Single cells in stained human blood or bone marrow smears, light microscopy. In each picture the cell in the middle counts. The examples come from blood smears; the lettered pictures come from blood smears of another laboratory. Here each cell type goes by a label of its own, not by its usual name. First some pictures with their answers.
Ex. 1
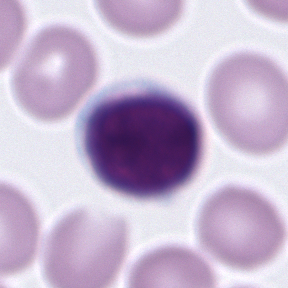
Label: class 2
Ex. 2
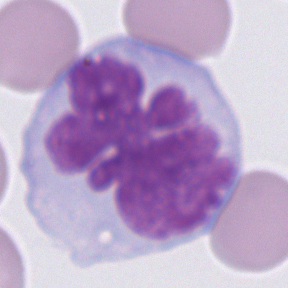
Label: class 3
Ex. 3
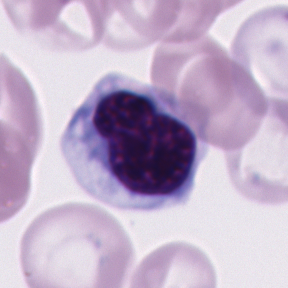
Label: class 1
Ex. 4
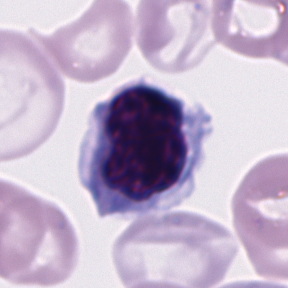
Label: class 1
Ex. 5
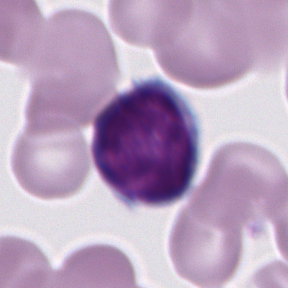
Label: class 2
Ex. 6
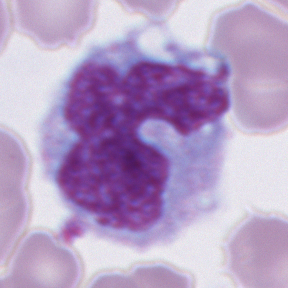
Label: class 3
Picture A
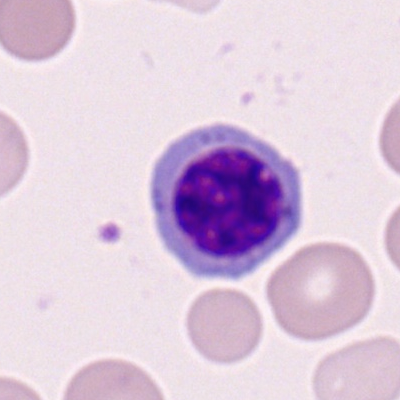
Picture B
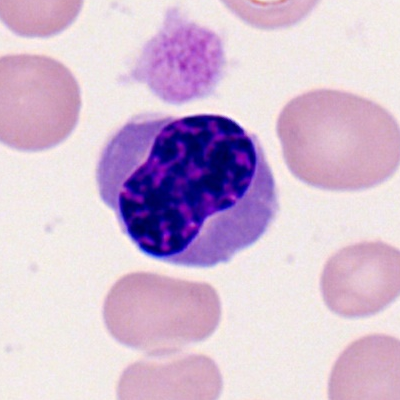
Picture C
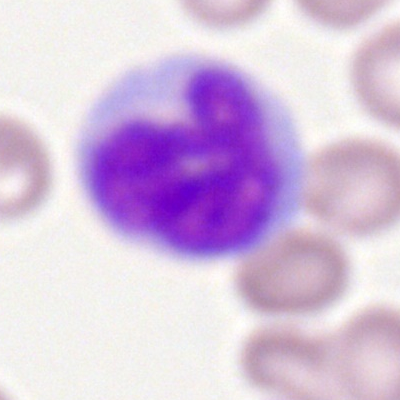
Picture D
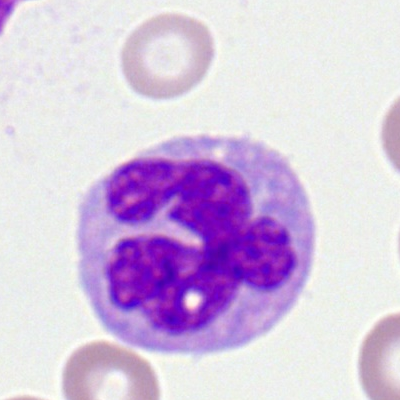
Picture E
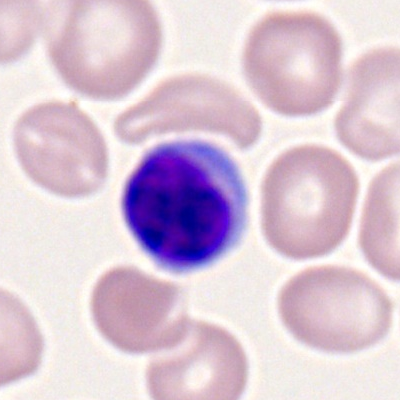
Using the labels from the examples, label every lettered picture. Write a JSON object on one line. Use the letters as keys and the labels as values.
{"A": "class 1", "B": "class 1", "C": "class 3", "D": "class 3", "E": "class 2"}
